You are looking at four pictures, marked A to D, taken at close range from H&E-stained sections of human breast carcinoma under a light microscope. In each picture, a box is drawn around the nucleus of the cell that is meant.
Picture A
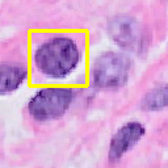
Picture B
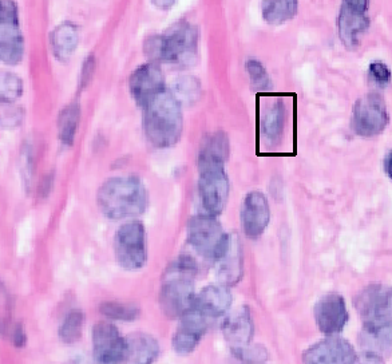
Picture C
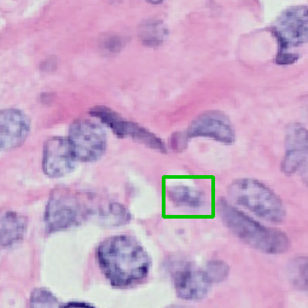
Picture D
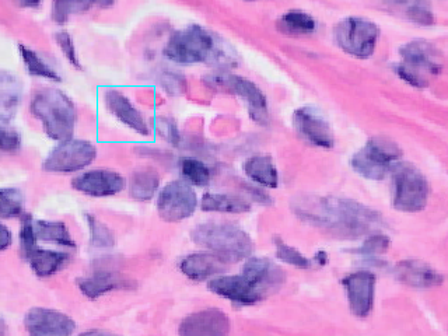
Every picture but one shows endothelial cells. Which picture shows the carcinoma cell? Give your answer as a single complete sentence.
The cell in picture A is the carcinoma cell.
